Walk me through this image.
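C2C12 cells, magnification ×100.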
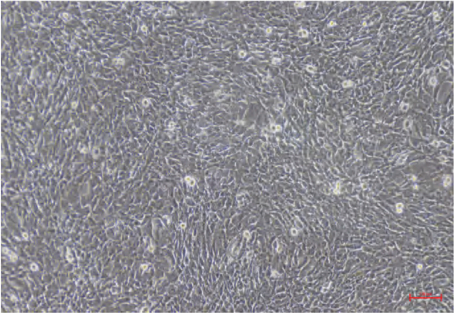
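A dense monolayer of separate, spindle-shaped cultured cells covers the dish. The cells are short, with tapering ends, and lie packed side by side without one common direction; a few rounded bright cells are scattered among them.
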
